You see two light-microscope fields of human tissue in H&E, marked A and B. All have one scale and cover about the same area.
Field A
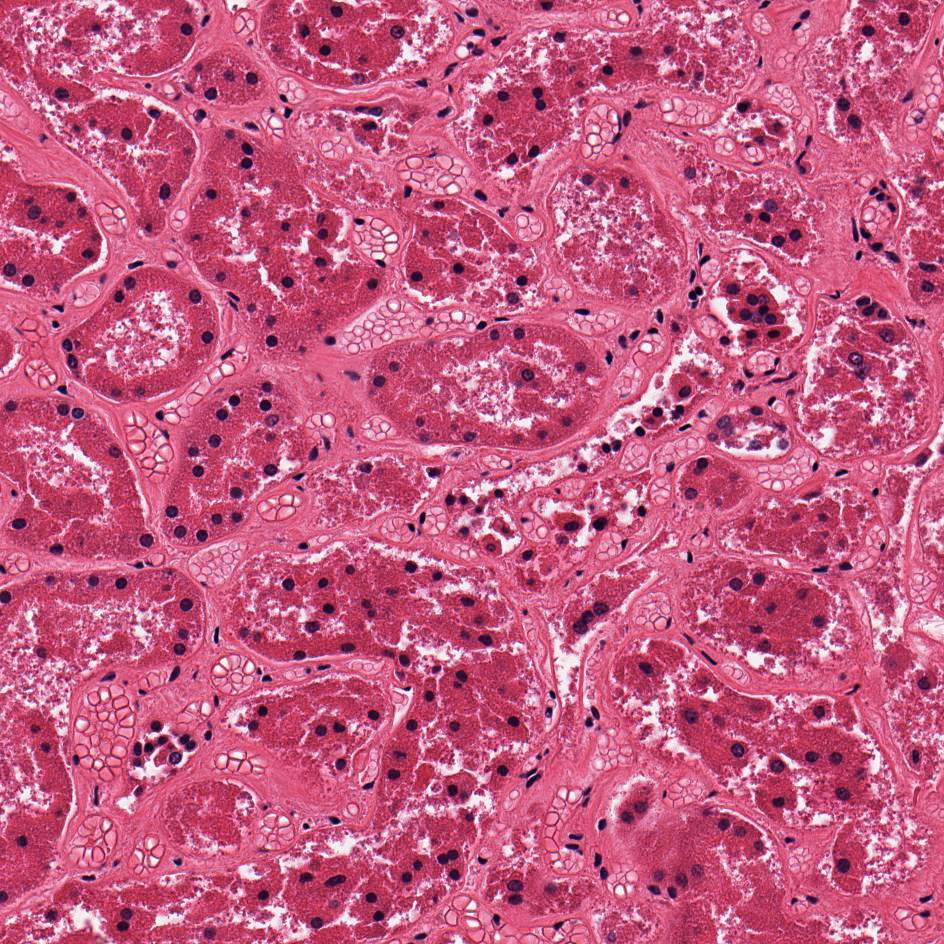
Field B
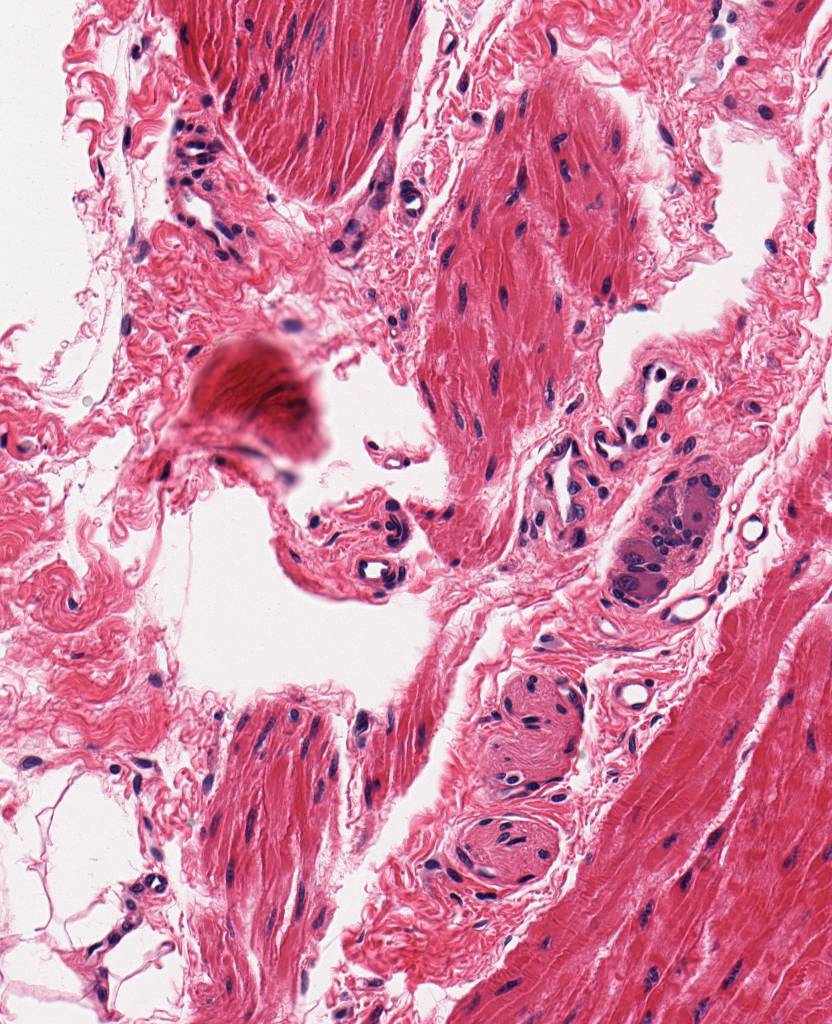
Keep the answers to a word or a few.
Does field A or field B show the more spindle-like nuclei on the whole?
B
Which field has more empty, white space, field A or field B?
B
